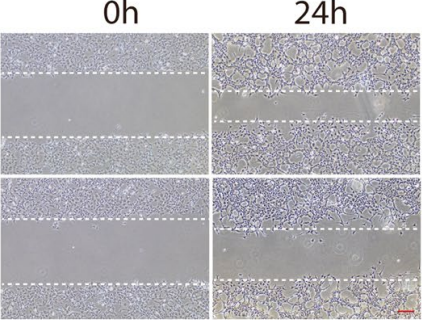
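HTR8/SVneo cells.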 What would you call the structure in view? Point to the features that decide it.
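Individual cells can be made out side by side without stacking. The answer: monolayer.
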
